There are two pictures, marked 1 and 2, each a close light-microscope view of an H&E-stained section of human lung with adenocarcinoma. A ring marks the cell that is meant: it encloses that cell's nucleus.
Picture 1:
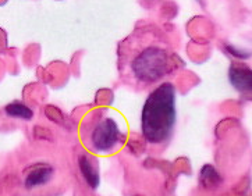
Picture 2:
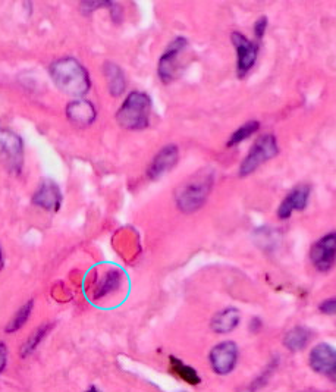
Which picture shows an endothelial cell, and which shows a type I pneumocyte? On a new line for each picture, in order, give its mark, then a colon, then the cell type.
1: type I pneumocyte
2: endothelial cell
